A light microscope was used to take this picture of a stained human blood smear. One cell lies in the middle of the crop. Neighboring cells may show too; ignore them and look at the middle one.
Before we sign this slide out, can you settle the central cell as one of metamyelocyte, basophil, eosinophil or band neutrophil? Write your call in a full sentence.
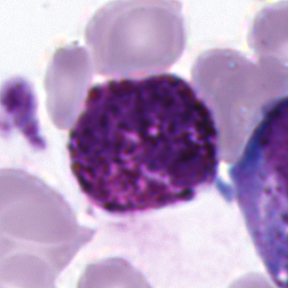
At the center of the crop sits a basophil.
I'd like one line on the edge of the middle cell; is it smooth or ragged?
Worth noting that the cell border is smooth and lacks projections.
